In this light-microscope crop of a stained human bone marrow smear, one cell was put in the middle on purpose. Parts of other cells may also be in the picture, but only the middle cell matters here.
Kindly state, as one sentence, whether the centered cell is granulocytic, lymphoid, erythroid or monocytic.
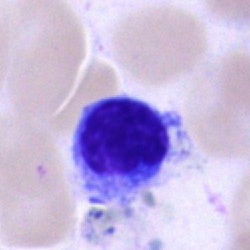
Lineage result for the cell in the middle of the crop: lymphoid.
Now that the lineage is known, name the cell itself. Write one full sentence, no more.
Present in the middle of the crop is a lymphocyte.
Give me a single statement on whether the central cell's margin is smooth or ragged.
Its outline is ragged or drawn out into projections, not smooth.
